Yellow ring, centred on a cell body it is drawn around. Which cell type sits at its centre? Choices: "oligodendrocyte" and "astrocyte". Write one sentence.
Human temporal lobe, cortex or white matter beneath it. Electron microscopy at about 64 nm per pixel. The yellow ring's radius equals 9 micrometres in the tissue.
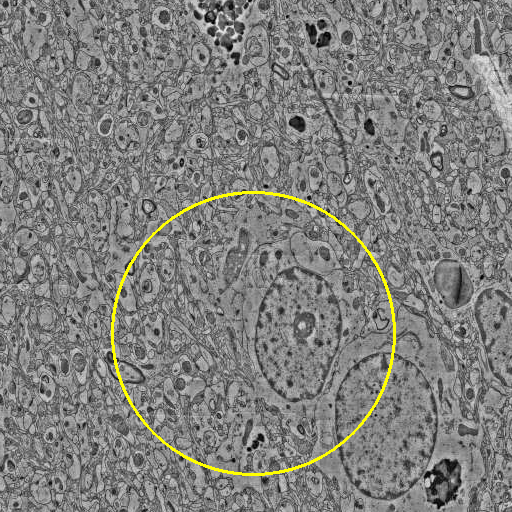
At the centre of the ring sits an astrocyte.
